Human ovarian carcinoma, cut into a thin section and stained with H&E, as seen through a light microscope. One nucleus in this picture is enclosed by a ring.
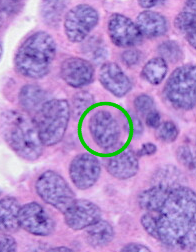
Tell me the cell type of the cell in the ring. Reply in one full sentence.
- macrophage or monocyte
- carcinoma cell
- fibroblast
This is a carcinoma cell.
